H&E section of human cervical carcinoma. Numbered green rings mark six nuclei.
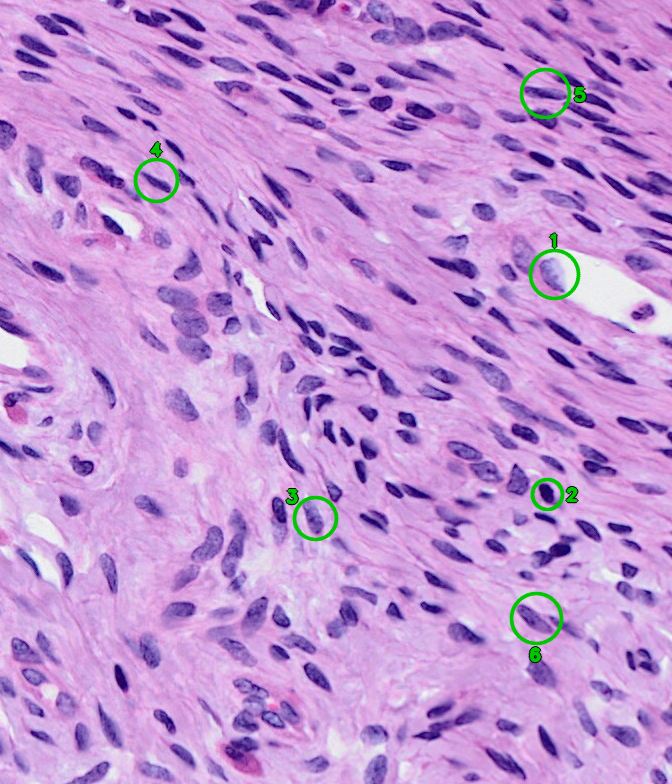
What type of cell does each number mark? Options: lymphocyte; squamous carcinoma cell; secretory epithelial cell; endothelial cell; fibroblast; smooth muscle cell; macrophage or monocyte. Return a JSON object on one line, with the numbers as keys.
{"1": "endothelial cell", "2": "lymphocyte", "3": "fibroblast", "4": "fibroblast", "5": "fibroblast", "6": "fibroblast"}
